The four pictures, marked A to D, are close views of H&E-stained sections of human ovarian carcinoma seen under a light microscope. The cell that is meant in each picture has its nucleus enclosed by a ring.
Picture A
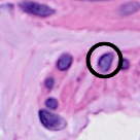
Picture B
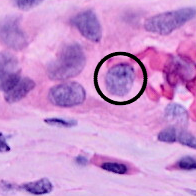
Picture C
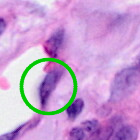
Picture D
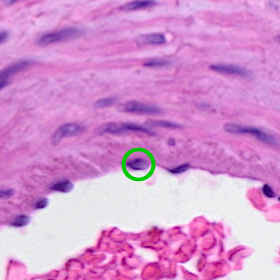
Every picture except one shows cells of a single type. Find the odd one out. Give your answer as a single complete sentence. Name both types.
Unlike the rest, which show endothelial cells, picture A shows a smooth muscle cell.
